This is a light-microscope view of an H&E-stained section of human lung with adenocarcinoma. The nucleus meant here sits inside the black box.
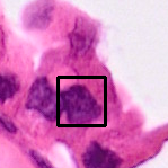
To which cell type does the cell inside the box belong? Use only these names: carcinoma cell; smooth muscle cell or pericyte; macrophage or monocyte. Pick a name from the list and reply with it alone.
carcinoma cell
